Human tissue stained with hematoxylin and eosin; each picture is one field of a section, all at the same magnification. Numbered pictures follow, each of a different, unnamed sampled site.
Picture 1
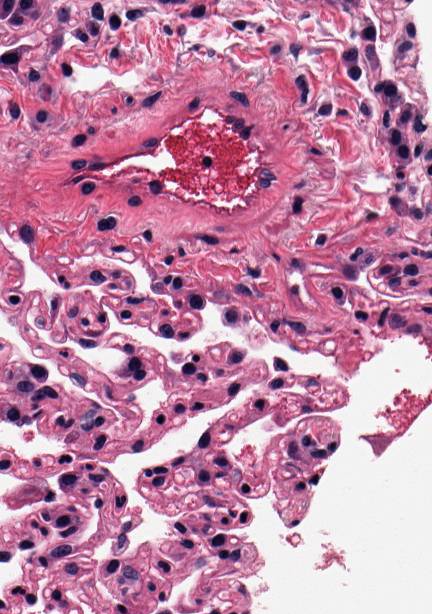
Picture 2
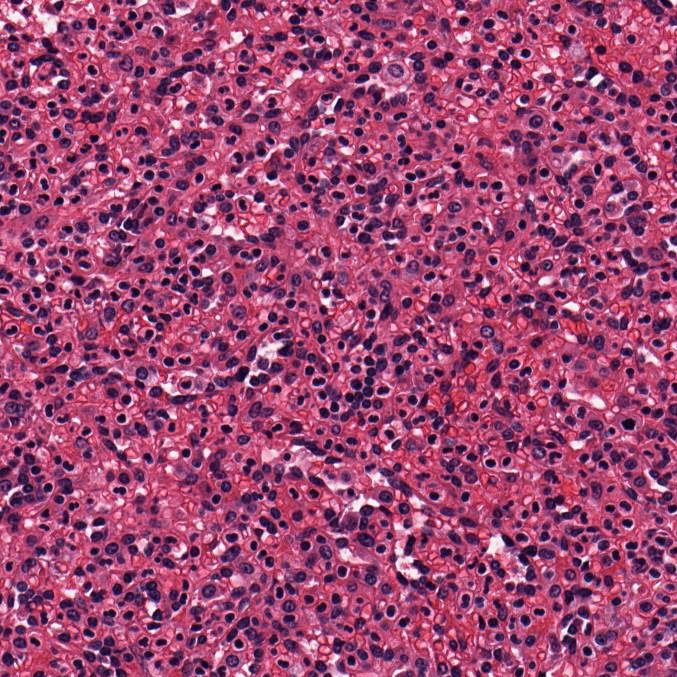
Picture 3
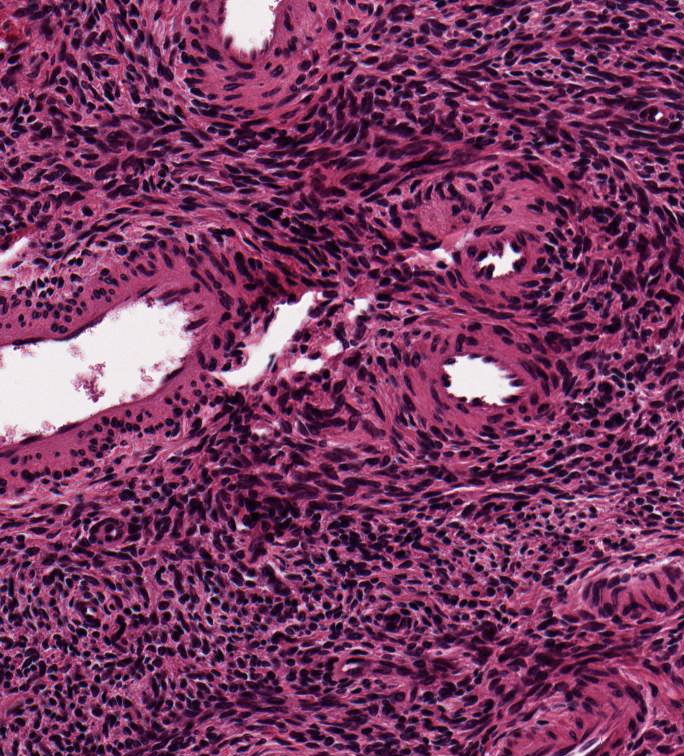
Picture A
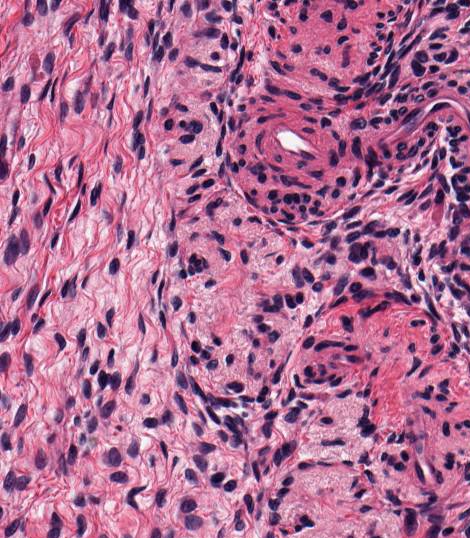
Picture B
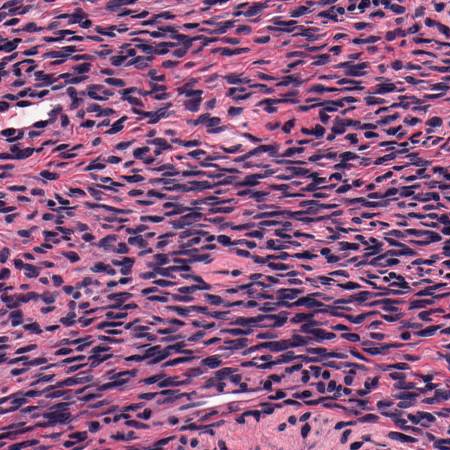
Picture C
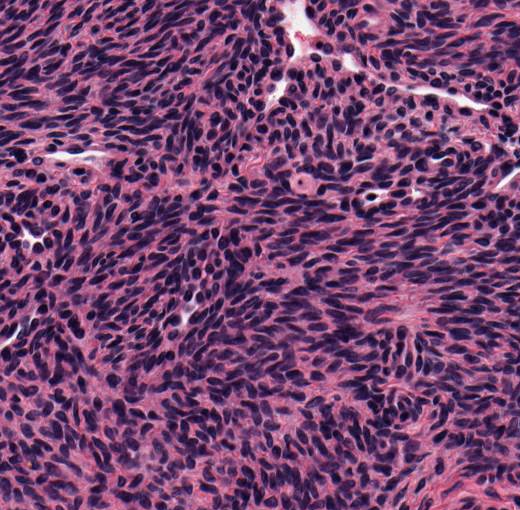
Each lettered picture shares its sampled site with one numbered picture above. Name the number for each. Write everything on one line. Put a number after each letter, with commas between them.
A 3, B 3, C 3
